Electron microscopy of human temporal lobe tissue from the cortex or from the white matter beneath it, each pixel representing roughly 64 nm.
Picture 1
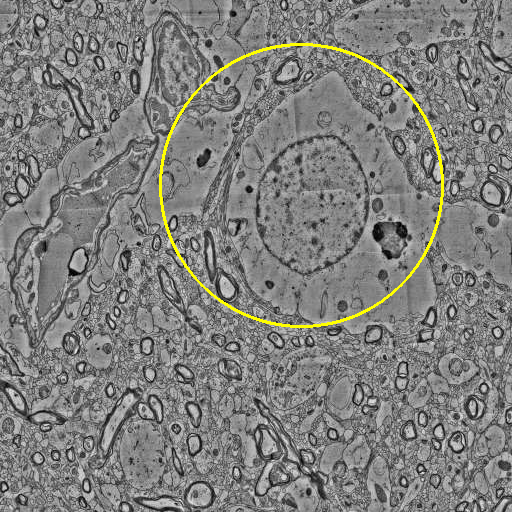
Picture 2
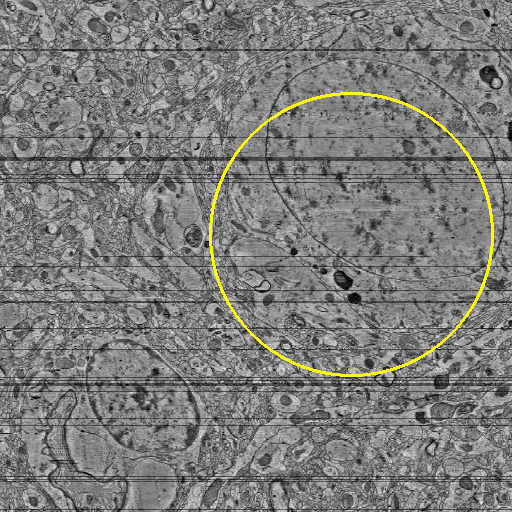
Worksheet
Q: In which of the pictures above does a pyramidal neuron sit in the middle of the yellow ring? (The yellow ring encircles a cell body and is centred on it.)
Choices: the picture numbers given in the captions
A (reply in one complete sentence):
In picture 2, the cell sitting at the centre of the ring is the match.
